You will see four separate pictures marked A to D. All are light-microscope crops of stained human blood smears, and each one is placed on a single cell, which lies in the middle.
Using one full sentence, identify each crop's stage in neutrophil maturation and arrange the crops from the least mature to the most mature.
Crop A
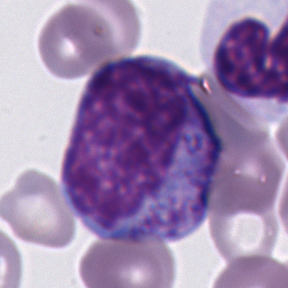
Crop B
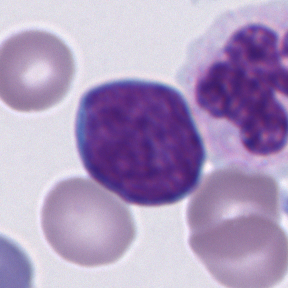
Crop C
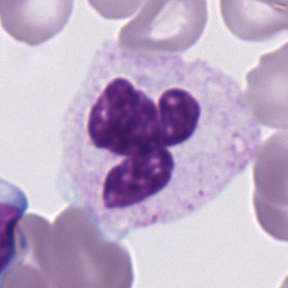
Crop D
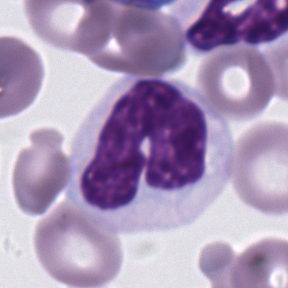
Increasing in maturity, the crops run crop B (a myeloblast), crop A (a promyelocyte), crop D (a band neutrophil) and crop C (a segmented neutrophil).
